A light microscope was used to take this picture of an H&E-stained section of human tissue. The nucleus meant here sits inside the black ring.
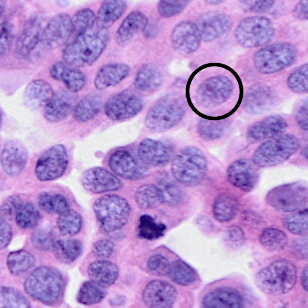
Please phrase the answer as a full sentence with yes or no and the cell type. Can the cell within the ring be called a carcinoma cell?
Yes, the cell within the ring is, by type, a carcinoma cell.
